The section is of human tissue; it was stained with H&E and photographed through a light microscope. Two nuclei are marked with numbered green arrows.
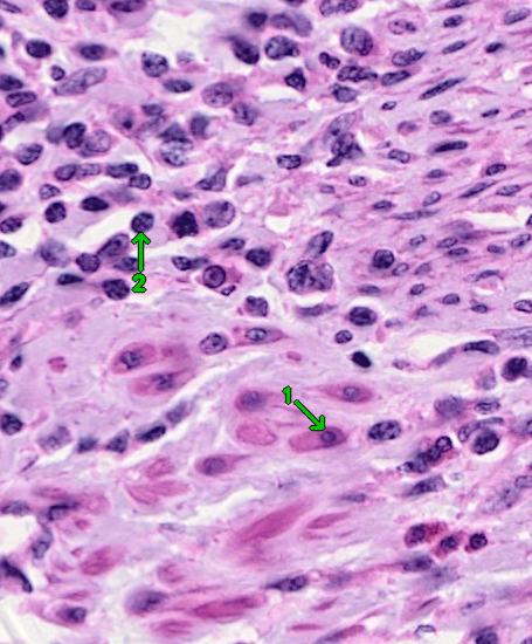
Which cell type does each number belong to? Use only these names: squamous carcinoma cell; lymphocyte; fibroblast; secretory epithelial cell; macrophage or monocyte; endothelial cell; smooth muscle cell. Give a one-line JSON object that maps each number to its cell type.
{"1": "smooth muscle cell", "2": "lymphocyte"}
